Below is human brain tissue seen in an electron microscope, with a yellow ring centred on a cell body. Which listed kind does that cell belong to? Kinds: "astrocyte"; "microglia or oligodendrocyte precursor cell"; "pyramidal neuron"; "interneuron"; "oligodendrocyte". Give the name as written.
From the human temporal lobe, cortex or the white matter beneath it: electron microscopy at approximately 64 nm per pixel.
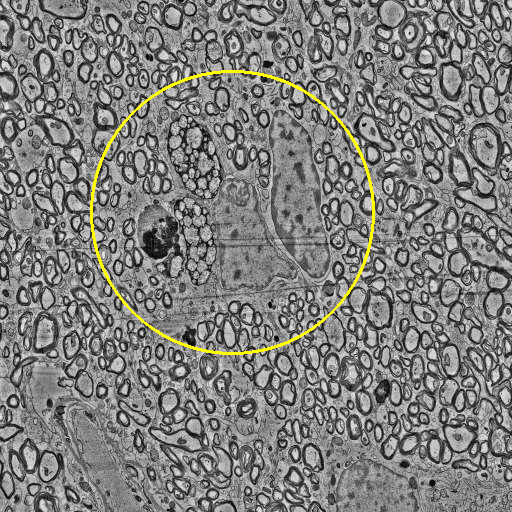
astrocyte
